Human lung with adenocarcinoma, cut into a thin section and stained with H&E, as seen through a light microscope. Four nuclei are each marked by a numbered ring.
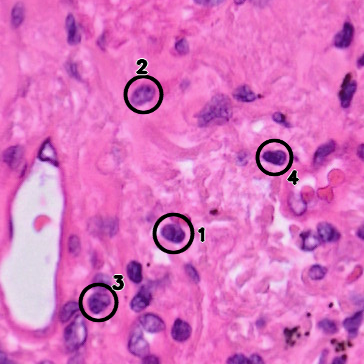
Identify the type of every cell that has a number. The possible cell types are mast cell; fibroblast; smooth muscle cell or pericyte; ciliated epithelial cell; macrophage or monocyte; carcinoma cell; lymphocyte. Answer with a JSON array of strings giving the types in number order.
["lymphocyte", "mast cell", "lymphocyte", "lymphocyte"]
